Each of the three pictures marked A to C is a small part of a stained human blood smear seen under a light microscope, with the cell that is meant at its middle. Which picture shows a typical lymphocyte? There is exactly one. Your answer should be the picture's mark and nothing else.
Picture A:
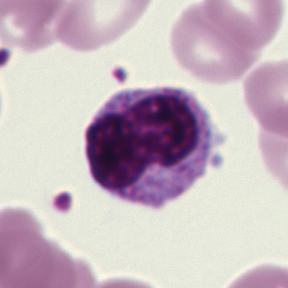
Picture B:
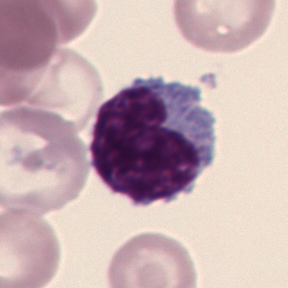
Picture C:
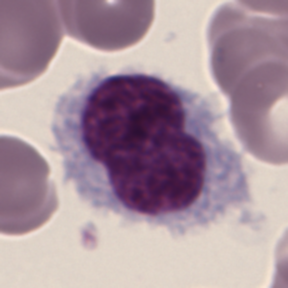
B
